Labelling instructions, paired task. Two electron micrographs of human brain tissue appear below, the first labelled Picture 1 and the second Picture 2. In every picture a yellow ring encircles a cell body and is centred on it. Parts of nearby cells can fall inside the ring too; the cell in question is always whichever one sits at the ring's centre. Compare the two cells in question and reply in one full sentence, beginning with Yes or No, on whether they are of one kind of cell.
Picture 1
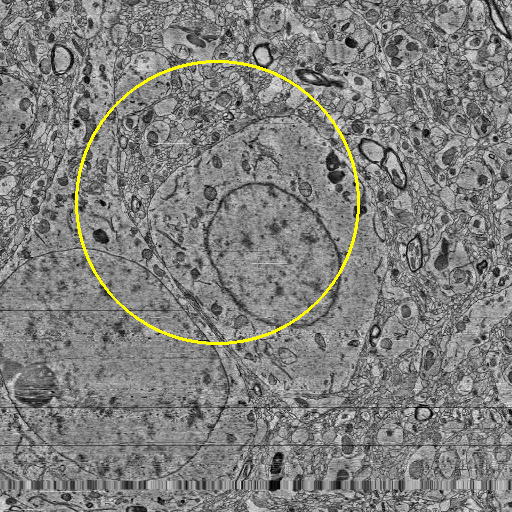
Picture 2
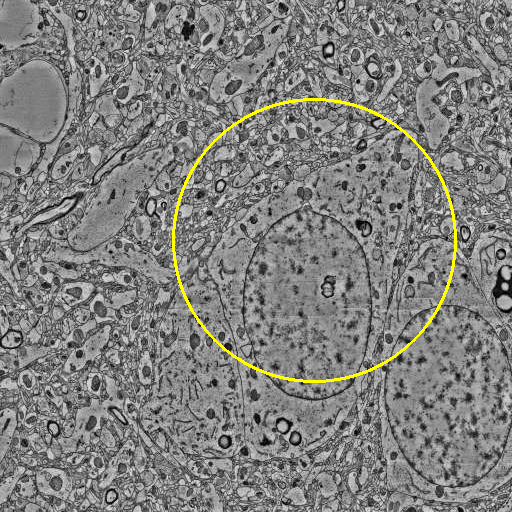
Yes, the two cells at the ring centres in Picture 1 and Picture 2 are of one kind.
